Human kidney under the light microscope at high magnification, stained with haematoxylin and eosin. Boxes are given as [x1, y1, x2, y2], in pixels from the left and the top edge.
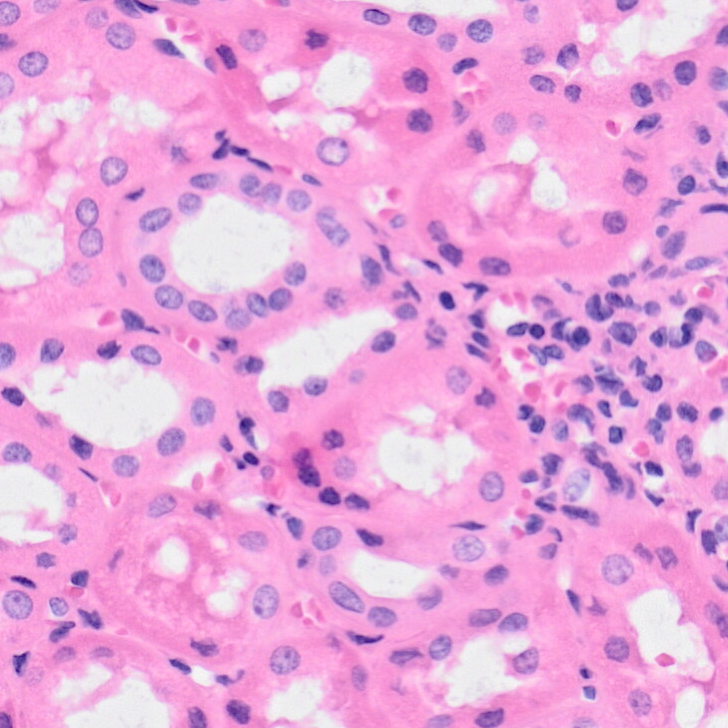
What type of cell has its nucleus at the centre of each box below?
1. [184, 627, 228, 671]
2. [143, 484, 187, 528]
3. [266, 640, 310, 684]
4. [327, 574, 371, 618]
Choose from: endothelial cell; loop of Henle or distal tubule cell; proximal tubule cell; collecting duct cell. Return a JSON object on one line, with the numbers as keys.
{"1": "proximal tubule cell", "2": "proximal tubule cell", "3": "proximal tubule cell", "4": "collecting duct cell"}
